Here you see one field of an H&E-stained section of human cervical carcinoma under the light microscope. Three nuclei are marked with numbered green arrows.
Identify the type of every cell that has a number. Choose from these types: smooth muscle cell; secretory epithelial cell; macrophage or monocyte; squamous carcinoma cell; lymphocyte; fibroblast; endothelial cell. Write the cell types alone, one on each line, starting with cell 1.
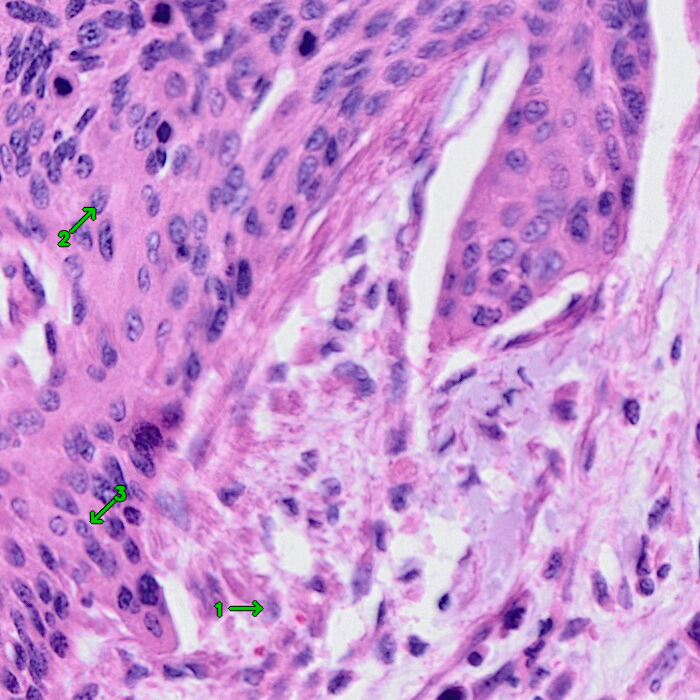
fibroblast
squamous carcinoma cell
squamous carcinoma cell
